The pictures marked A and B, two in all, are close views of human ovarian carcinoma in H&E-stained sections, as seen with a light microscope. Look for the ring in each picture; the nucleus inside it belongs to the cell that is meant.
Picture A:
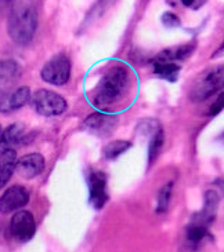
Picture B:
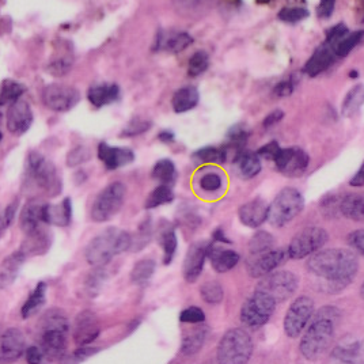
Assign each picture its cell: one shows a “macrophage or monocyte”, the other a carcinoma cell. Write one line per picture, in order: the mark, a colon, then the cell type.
A: carcinoma cell
B: macrophage or monocyte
